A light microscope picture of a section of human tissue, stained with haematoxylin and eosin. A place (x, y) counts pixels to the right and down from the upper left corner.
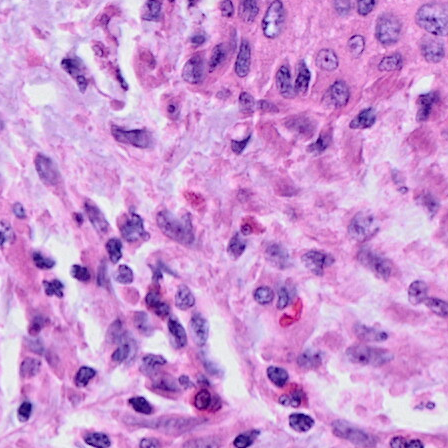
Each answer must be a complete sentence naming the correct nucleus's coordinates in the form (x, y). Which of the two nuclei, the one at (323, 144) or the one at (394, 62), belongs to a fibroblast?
Of the two nuclei present, the one at (323, 144) is within a fibroblast.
